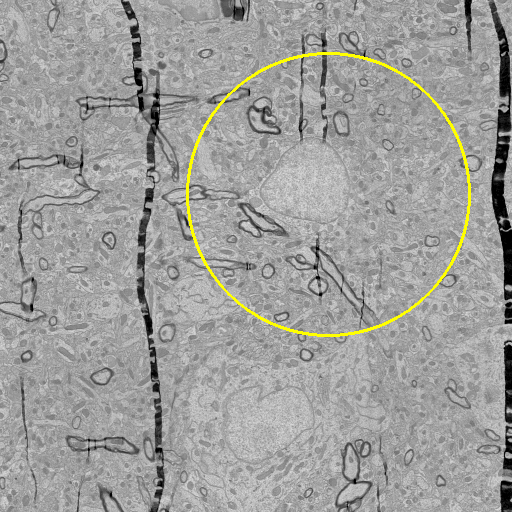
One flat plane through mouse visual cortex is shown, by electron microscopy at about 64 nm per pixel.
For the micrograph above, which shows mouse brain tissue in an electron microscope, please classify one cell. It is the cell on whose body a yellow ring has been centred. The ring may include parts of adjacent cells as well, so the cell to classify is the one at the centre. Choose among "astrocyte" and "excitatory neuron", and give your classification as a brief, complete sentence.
I classify this cell as an astrocyte.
